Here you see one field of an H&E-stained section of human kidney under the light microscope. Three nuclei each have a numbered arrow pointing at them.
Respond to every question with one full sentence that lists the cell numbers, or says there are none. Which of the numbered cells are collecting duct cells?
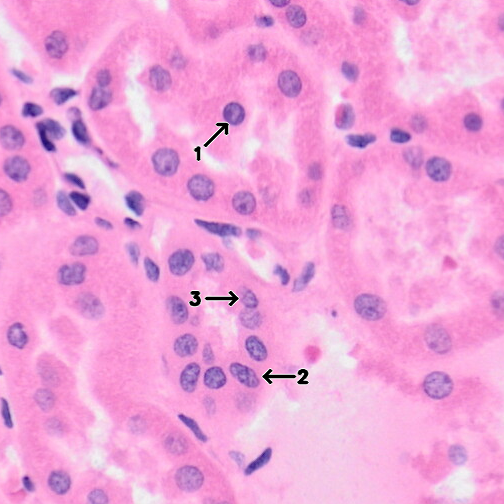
On this slide, the cells numbered 2 and 3 are collecting duct cells.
